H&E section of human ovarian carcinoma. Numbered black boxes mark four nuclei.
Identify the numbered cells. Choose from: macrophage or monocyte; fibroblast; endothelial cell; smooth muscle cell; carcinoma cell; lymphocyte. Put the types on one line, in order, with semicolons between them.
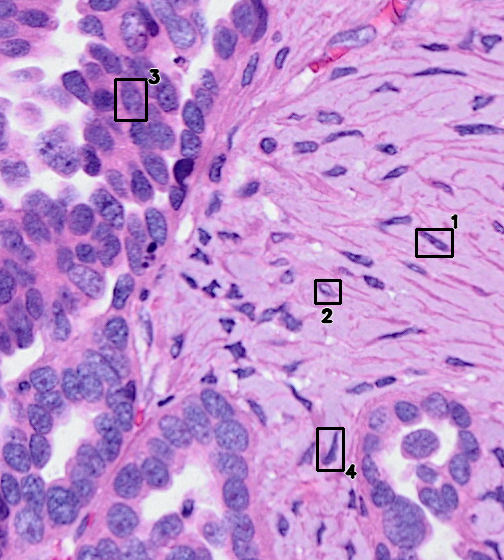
fibroblast; fibroblast; carcinoma cell; fibroblast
